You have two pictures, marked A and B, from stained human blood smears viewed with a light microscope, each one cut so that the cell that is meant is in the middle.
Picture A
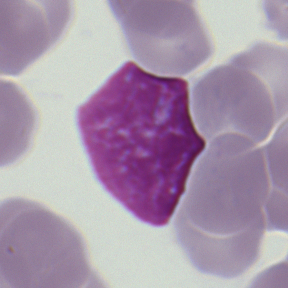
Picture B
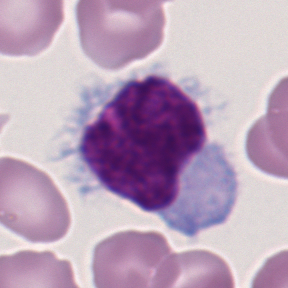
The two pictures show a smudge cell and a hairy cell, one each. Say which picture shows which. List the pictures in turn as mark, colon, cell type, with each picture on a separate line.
A: smudge cell
B: hairy cell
